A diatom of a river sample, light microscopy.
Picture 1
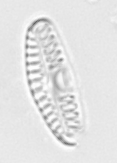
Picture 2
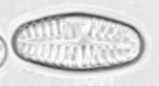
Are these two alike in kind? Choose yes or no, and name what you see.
Yes. Planothidium.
